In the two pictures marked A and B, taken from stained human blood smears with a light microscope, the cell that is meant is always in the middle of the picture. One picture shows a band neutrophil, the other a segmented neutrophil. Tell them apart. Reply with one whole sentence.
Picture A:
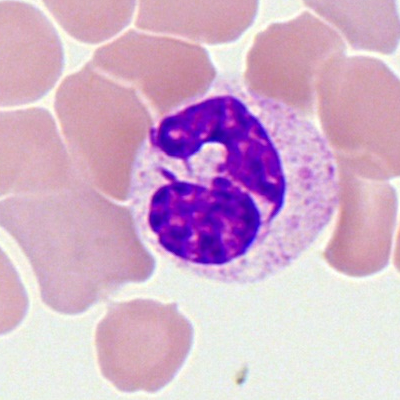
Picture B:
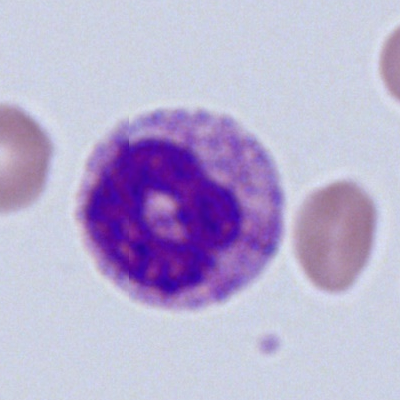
Picture A shows a segmented neutrophil and picture B shows a band neutrophil.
